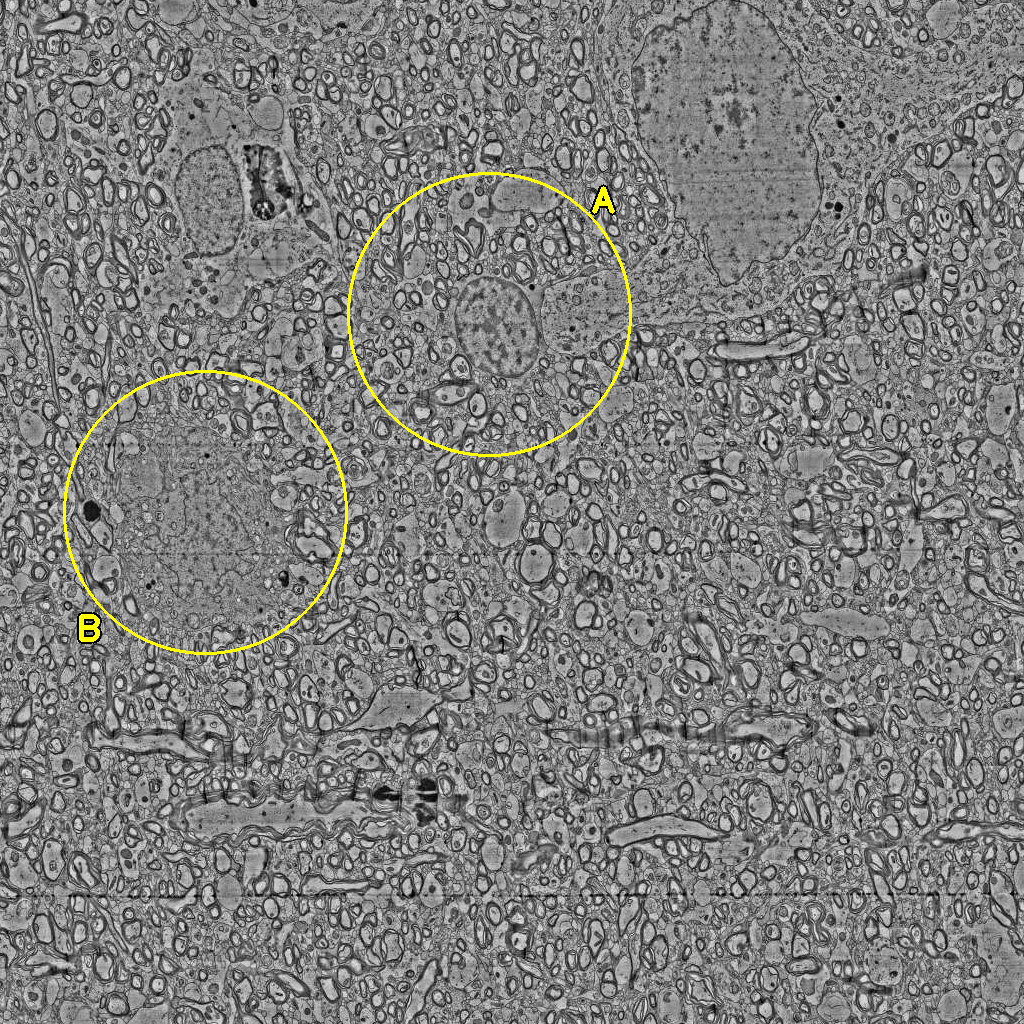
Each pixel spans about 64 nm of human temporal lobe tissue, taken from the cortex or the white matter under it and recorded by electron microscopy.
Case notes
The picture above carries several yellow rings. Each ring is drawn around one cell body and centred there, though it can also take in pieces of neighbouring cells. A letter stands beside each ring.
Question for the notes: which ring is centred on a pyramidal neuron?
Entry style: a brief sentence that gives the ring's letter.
Ring B is centred on it.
